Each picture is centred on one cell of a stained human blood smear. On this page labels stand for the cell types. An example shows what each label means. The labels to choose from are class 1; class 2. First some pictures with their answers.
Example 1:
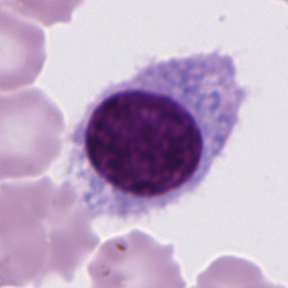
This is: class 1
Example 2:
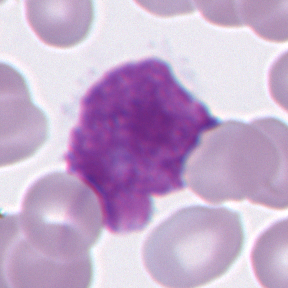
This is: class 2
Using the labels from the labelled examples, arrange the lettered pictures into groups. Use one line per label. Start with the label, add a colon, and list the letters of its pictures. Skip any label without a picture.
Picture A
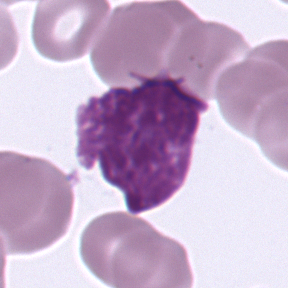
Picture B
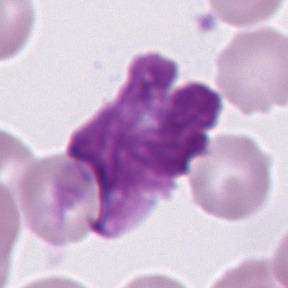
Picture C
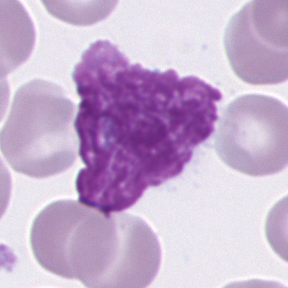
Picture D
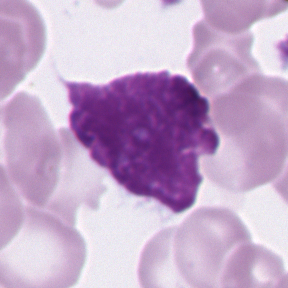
class 2: A, B, C, D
